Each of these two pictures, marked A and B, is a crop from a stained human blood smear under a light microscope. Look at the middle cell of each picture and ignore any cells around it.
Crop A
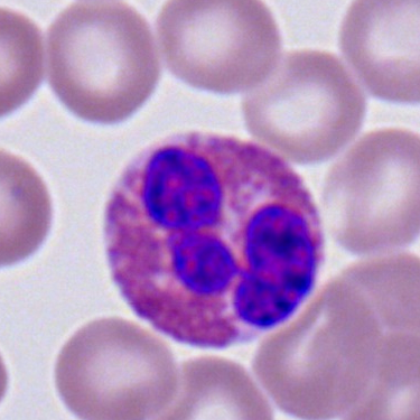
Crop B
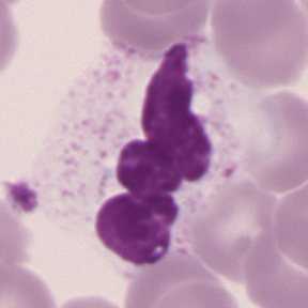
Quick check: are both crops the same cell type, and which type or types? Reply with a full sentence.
No, crop A is to be identified as an eosinophil and crop B as a segmented neutrophil.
